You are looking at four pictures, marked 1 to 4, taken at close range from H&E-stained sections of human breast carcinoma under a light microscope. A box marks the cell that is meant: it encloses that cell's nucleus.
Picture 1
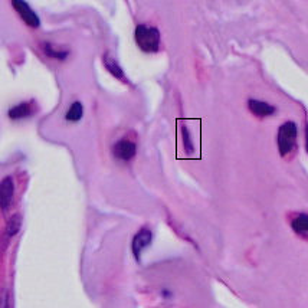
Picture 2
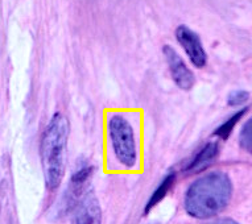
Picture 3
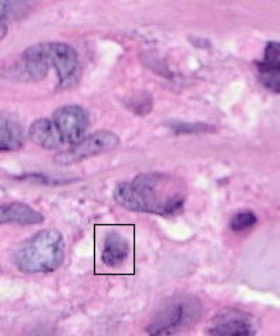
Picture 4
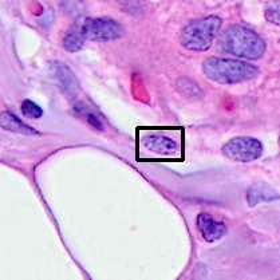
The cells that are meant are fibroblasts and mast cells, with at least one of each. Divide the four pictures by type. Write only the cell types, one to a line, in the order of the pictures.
fibroblast
mast cell
mast cell
mast cell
